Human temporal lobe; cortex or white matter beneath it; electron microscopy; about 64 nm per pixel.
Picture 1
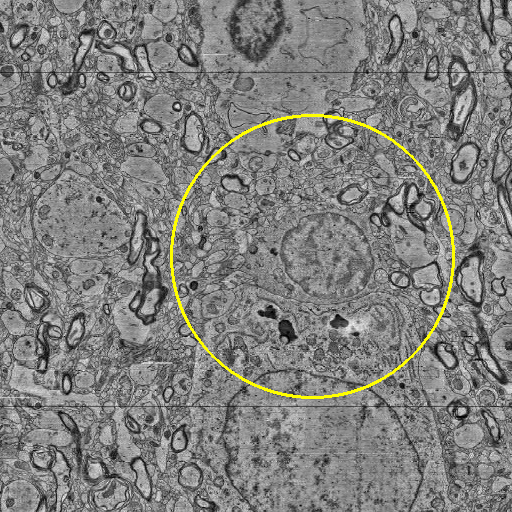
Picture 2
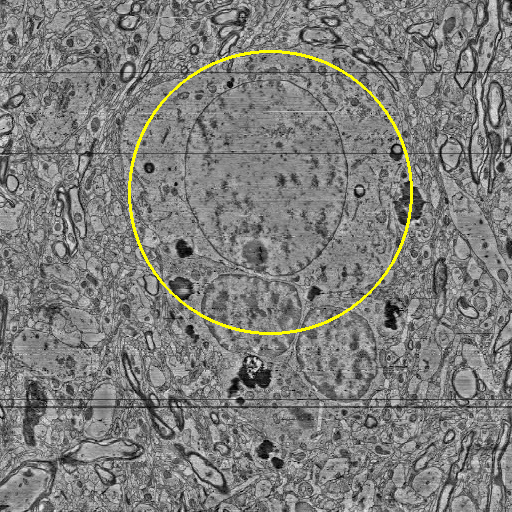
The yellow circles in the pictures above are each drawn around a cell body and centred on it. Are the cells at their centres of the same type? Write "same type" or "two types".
two types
